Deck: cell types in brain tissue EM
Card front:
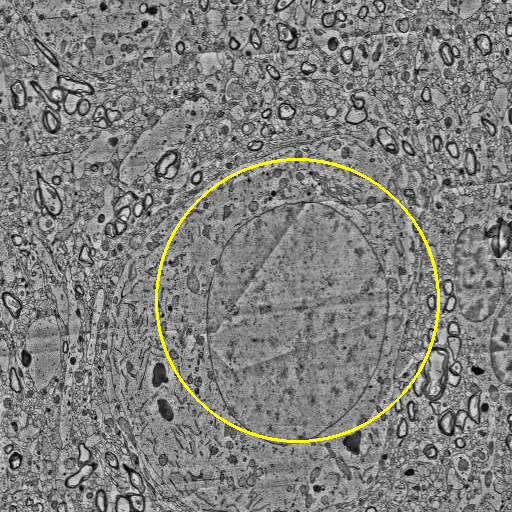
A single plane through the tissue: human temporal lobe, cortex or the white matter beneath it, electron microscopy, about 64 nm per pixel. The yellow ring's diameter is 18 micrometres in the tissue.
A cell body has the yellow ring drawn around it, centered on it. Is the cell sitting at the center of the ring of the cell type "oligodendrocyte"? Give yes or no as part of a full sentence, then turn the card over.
No, on this card the yellow ring is centered on a cell of a different type.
